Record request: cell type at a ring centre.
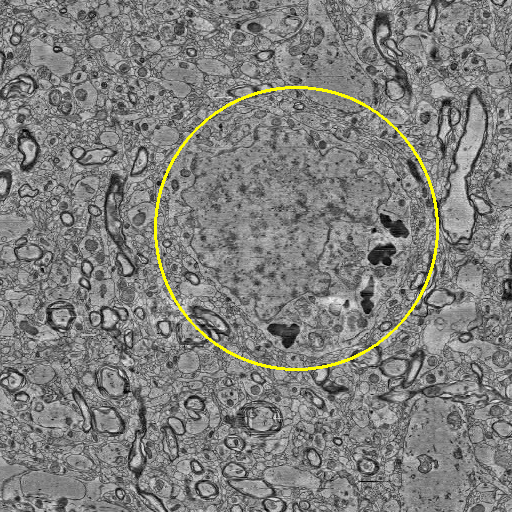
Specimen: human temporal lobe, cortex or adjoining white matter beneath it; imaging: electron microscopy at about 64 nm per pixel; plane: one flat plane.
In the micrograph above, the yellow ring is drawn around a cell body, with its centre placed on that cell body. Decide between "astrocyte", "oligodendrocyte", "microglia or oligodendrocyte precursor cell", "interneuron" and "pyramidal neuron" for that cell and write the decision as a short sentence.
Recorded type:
The cell centred in the yellow ring is an interneuron.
